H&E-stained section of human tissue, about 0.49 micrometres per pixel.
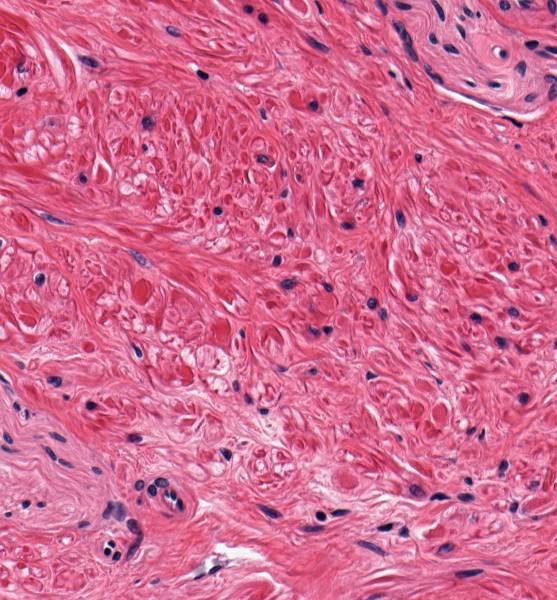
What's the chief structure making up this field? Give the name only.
fibromuscular stroma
